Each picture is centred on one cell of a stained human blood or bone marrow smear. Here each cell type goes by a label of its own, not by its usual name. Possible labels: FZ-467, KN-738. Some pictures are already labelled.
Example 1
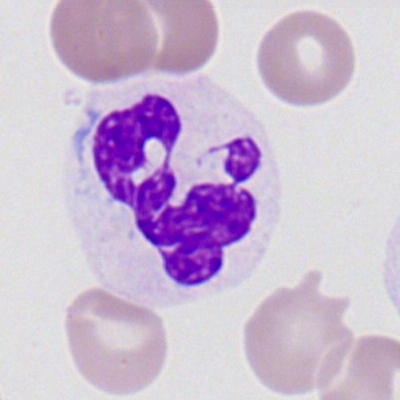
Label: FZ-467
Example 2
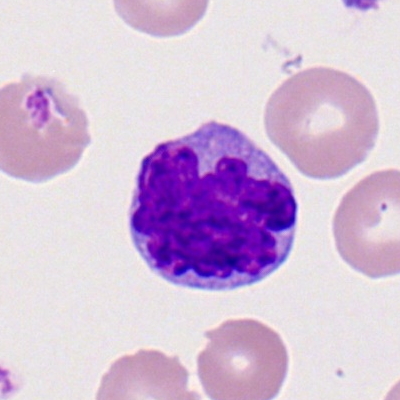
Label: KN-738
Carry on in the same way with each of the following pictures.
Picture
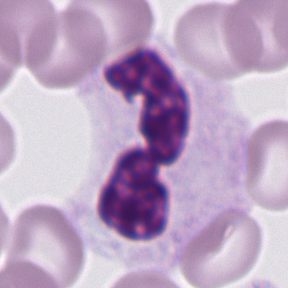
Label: FZ-467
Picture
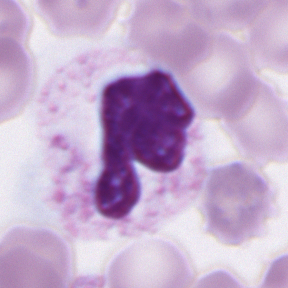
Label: FZ-467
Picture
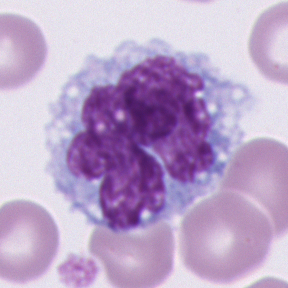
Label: KN-738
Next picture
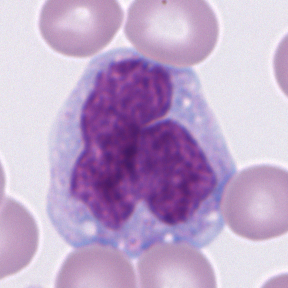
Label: KN-738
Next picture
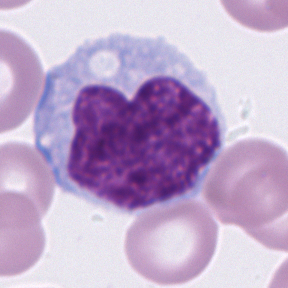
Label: KN-738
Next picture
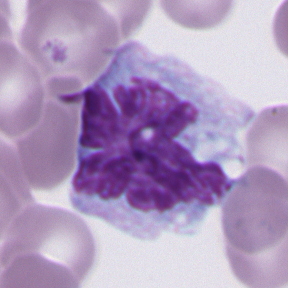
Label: KN-738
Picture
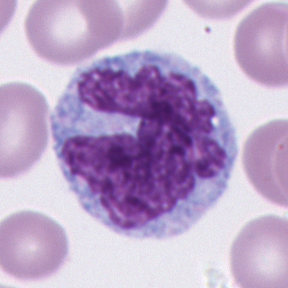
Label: KN-738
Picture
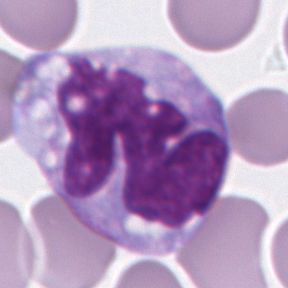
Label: KN-738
